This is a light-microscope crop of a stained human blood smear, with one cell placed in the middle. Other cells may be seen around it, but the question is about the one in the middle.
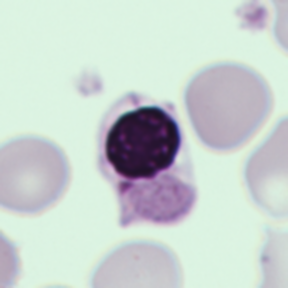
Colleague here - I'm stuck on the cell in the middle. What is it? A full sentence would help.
In the crop, the cell of interest at the centre is a normoblast.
